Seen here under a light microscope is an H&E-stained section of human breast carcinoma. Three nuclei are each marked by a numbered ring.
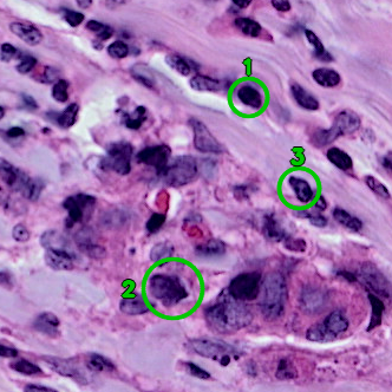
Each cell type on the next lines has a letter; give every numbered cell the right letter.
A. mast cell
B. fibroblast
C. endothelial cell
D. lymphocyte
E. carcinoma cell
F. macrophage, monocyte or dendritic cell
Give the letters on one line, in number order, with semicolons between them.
D; E; D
